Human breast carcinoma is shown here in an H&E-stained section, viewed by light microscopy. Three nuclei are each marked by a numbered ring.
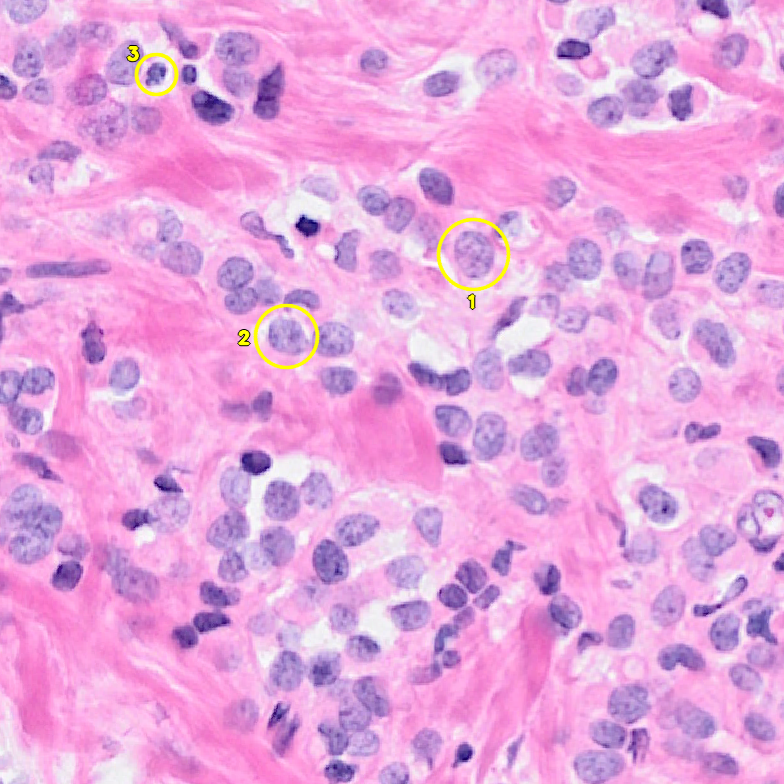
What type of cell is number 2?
carcinoma cell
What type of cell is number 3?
lymphocyte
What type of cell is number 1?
carcinoma cell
